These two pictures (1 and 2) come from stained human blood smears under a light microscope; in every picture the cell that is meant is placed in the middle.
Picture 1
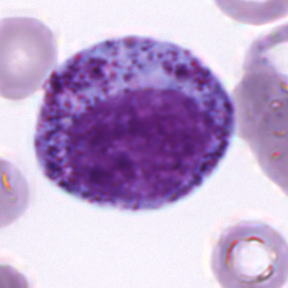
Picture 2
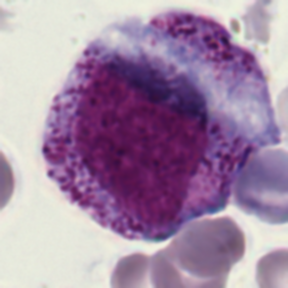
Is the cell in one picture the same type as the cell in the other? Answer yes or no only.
yes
